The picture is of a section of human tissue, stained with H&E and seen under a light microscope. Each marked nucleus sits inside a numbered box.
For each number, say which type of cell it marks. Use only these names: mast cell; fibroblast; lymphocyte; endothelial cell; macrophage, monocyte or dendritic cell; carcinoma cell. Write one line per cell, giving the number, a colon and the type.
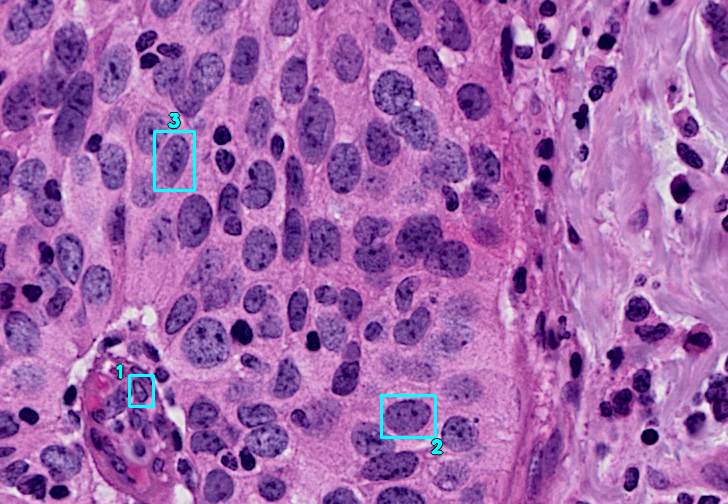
1: endothelial cell
2: carcinoma cell
3: carcinoma cell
